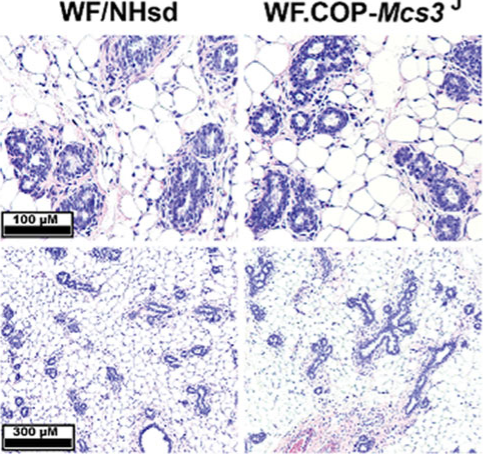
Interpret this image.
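Mammary gland tissue made mostly of adipocytes, the large empty-looking polygonal cells outlined by thin pink walls. Embedded among them are ductal structures: tubes and rounded buds of epithelium with crowded, dark purple nuclei, several cell layers thick. Some tubes have a small central lumen, and some branch. A little loose pink stroma lies close around the epithelium. The low-power images show these epithelial profiles scattered throughout the fat. The two sides look alike in overall pattern.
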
